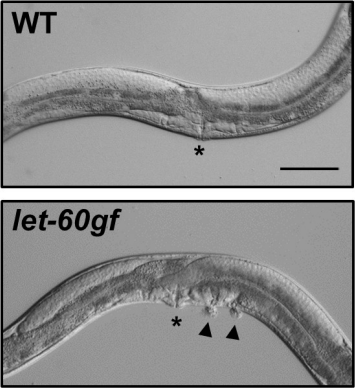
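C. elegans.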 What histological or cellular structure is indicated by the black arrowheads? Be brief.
Pseudovulvas.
